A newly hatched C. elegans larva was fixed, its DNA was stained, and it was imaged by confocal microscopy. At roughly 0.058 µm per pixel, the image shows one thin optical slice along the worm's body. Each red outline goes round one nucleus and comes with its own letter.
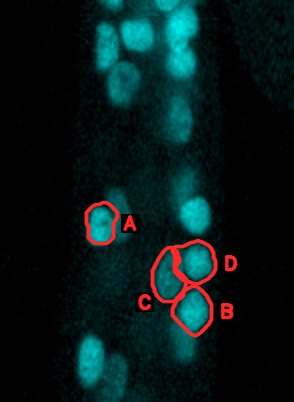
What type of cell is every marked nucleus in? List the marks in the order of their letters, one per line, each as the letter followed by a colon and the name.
A: body wall muscle cell
B: neuron
C: intestinal cell
D: neuron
